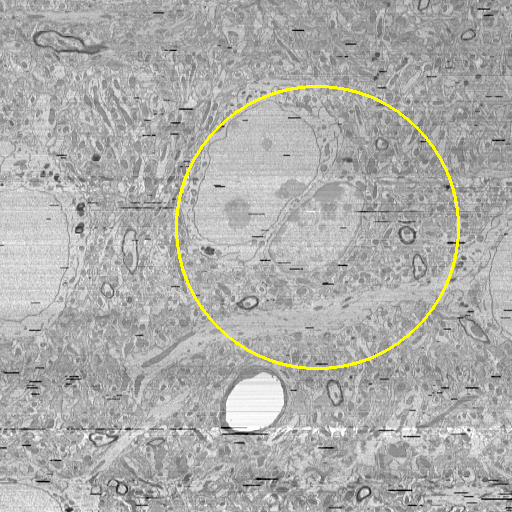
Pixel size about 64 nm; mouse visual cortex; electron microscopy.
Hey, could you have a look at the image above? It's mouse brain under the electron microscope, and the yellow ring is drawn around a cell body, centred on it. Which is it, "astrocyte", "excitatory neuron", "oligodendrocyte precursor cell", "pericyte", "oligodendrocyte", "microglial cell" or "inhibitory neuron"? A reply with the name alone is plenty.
oligodendrocyte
